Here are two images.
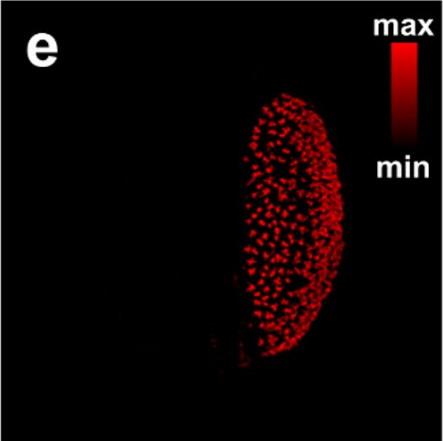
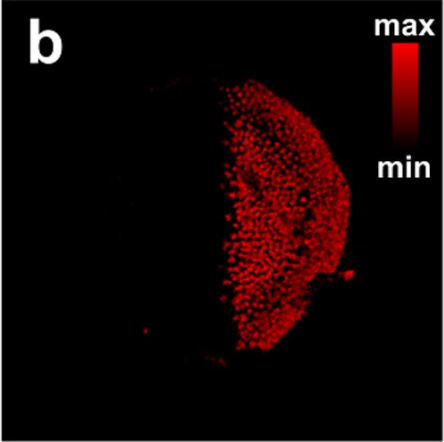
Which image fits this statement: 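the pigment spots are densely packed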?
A: the second image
